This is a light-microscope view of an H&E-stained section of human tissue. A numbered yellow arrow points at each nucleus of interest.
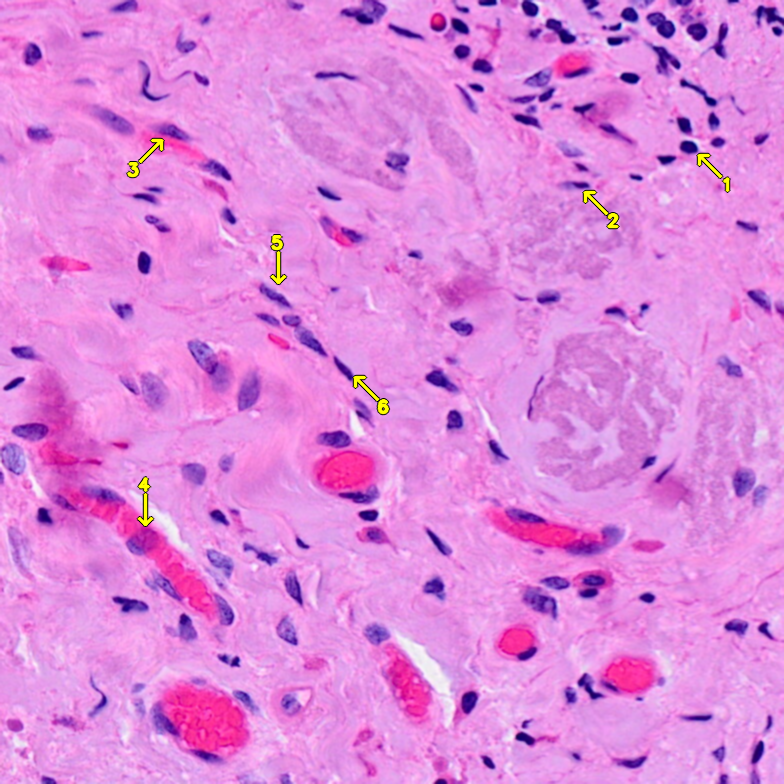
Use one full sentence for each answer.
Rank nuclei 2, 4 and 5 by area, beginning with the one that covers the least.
Smallest first, the nuclei run 2, 5, 4.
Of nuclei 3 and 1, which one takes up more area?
Nucleus 3 covers more area, about 1.5 times as much as nucleus 1.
